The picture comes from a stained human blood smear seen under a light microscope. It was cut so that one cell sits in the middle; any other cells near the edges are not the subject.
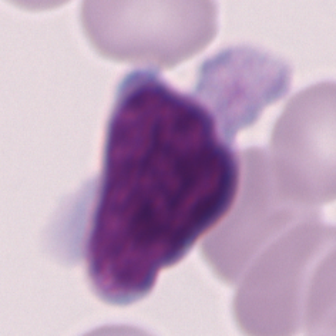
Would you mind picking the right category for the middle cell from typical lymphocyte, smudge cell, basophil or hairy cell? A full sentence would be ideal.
The middle of this crop holds a typical lymphocyte.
